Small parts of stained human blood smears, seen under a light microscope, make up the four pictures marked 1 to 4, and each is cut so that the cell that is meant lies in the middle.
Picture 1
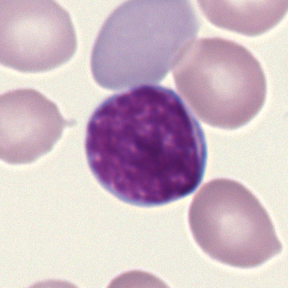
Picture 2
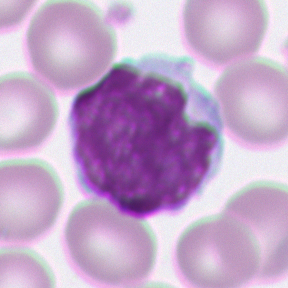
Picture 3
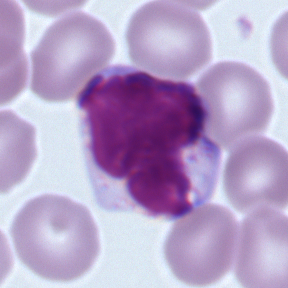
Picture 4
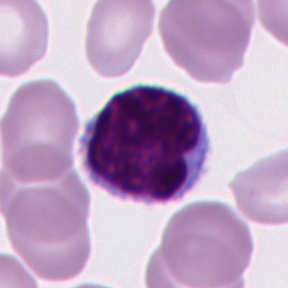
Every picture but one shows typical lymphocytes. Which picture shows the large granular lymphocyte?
3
